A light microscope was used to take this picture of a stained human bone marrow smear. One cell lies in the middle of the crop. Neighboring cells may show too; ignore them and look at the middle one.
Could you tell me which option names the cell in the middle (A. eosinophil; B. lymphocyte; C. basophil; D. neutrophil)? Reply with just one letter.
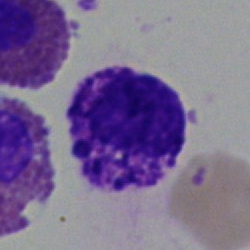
C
